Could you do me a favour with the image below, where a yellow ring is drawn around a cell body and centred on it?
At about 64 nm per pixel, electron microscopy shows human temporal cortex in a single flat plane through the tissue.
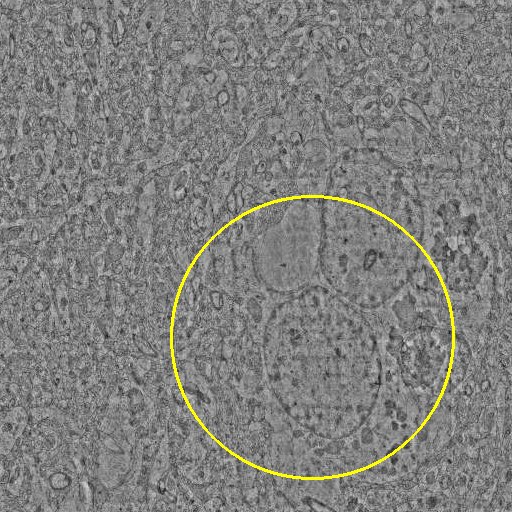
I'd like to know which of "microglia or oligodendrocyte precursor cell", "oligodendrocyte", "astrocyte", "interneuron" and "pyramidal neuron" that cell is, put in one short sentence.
The cell at the ring's centre is an astrocyte.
